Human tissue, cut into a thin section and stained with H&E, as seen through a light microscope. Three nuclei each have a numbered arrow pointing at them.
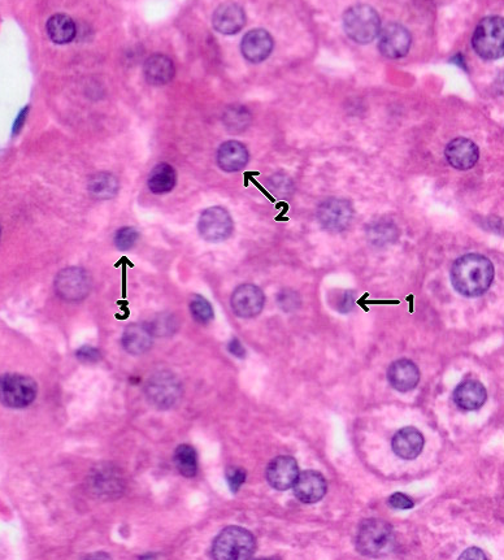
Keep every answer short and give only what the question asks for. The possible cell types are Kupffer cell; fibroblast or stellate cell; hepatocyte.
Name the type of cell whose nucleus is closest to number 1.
hepatocyte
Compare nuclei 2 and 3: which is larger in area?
2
